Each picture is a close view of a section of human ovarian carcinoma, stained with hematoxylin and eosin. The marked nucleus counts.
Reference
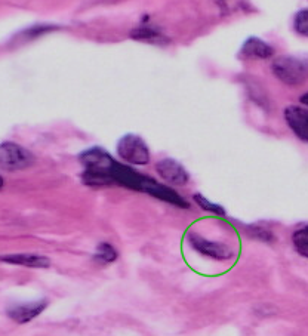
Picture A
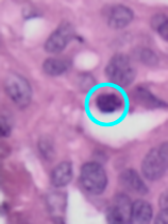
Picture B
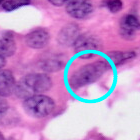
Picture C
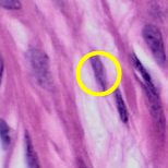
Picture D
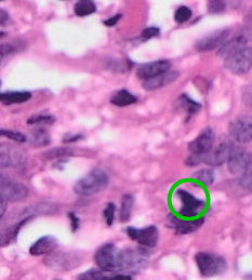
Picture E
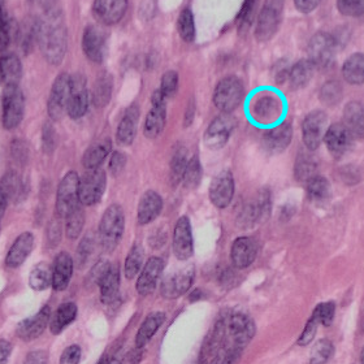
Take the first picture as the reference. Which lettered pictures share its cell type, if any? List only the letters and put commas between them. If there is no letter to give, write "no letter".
C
